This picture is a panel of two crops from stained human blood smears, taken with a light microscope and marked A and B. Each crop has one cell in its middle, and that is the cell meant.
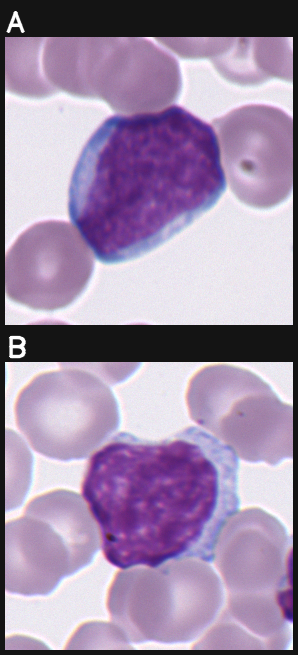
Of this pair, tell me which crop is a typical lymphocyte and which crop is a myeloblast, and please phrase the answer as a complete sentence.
Whereas crop A contains a myeloblast, crop B contains a typical lymphocyte.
